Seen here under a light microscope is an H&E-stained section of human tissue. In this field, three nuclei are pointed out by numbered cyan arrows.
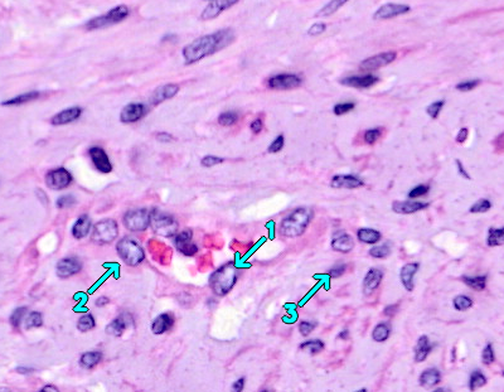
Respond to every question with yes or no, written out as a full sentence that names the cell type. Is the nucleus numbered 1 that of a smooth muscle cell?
No, that is wrong: cell 1 is an endothelial cell, and not a smooth muscle cell.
